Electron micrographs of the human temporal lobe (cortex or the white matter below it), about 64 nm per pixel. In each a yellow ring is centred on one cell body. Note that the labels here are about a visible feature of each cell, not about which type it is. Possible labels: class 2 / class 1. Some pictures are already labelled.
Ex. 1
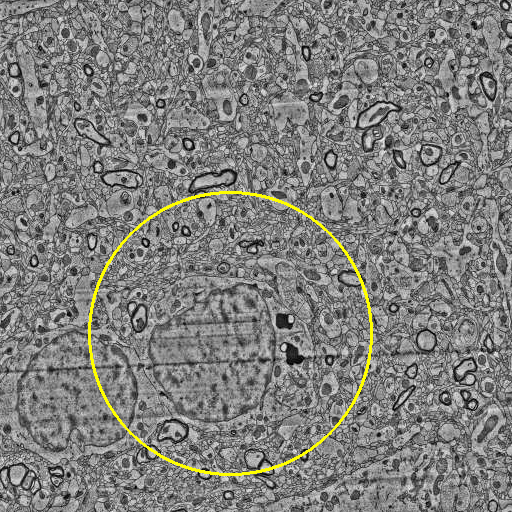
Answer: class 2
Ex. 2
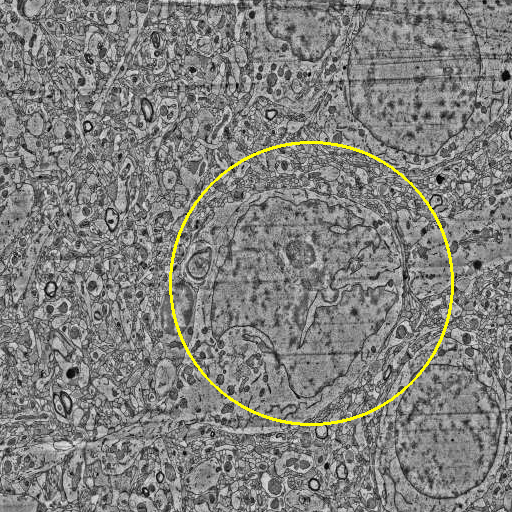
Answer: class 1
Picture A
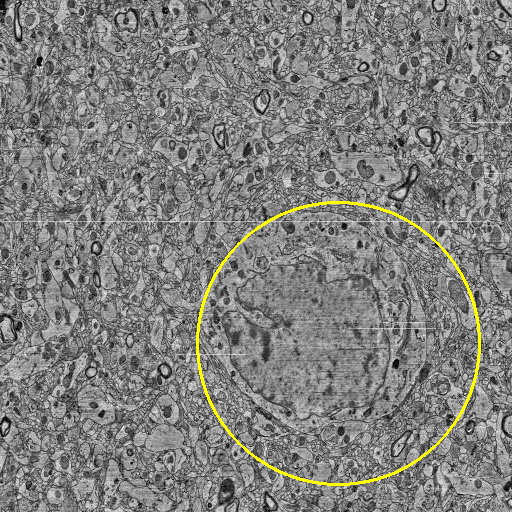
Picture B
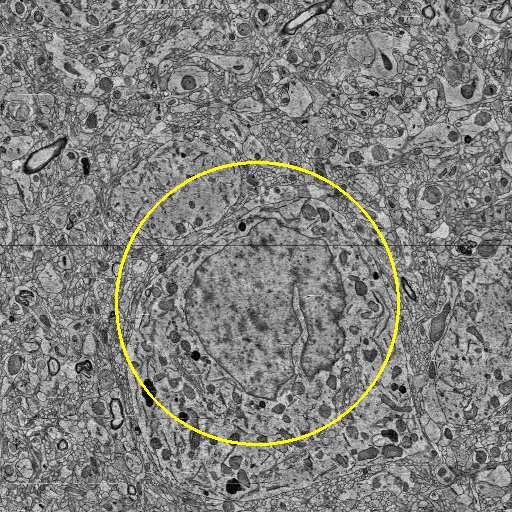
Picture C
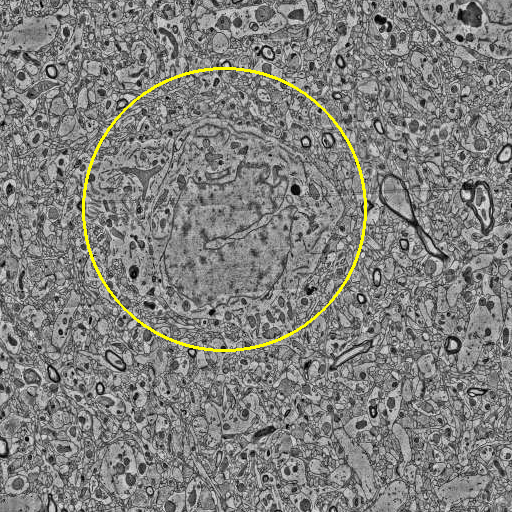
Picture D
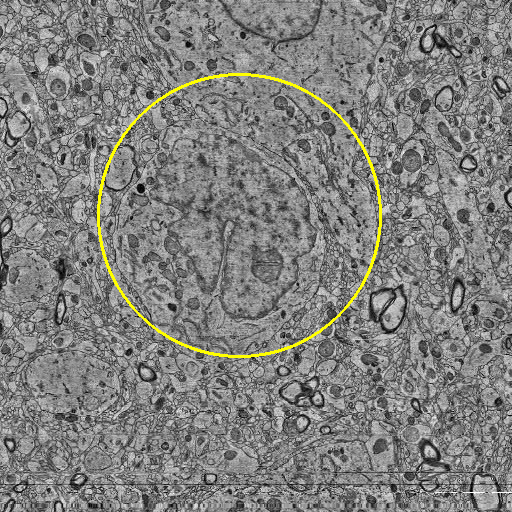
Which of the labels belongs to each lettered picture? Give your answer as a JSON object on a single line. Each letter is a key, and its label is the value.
{"A": "class 1", "B": "class 1", "C": "class 1", "D": "class 1"}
